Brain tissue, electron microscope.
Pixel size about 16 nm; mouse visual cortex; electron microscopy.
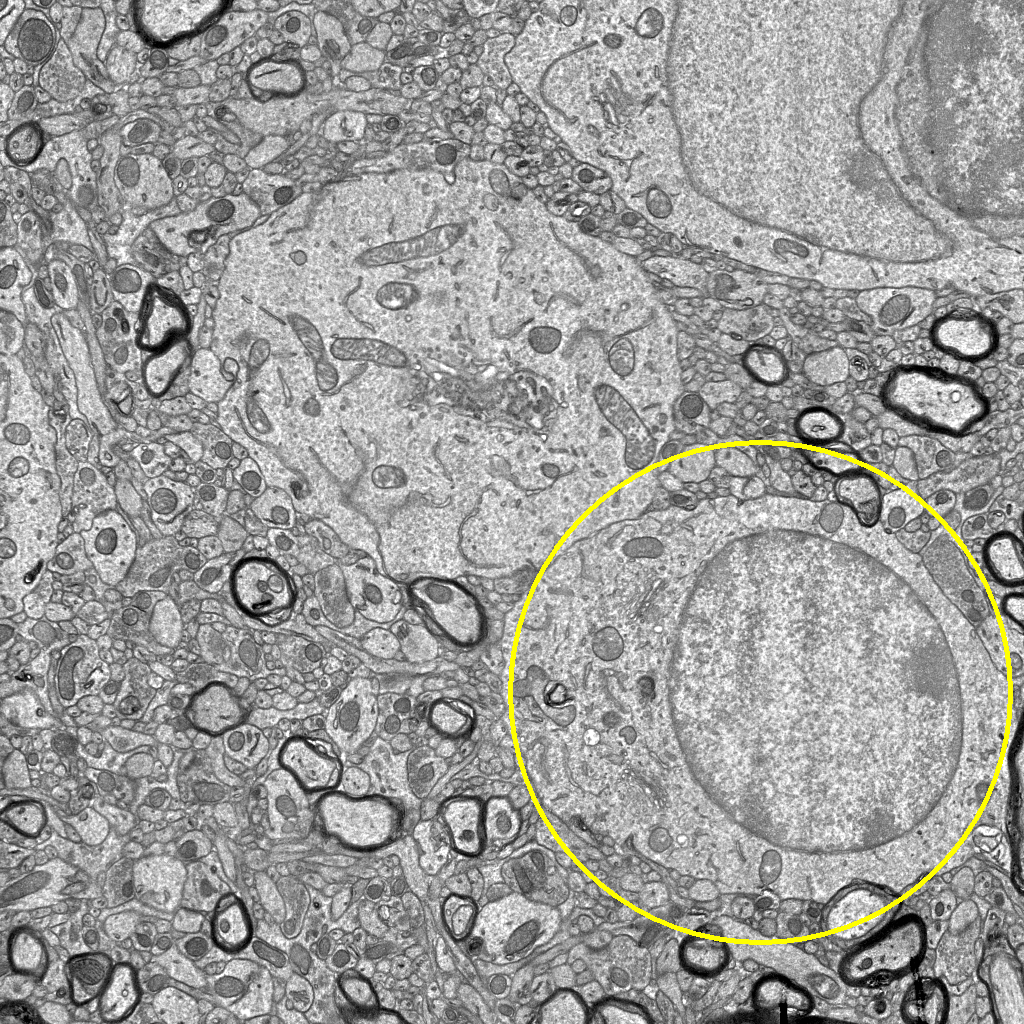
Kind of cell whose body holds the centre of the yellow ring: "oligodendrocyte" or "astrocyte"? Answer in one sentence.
The ring's centre falls on an oligodendrocyte.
